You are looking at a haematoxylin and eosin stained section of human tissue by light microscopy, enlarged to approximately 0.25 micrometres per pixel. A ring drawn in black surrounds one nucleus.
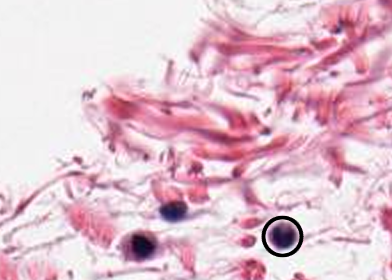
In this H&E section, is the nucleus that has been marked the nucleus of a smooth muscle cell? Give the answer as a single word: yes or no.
no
